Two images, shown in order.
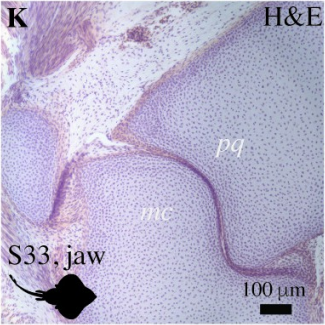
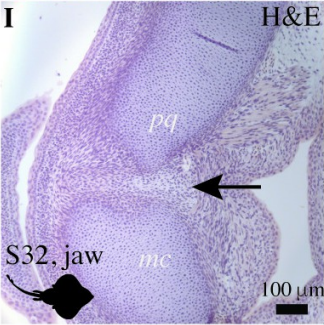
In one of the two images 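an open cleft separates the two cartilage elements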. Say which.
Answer: The first image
